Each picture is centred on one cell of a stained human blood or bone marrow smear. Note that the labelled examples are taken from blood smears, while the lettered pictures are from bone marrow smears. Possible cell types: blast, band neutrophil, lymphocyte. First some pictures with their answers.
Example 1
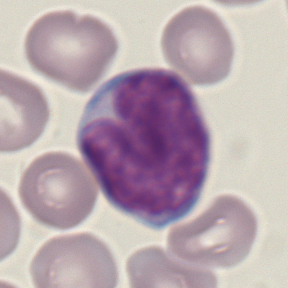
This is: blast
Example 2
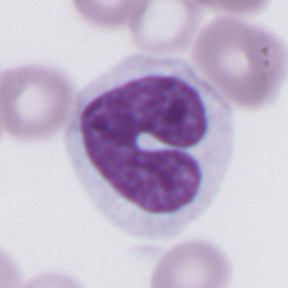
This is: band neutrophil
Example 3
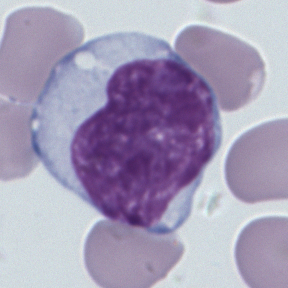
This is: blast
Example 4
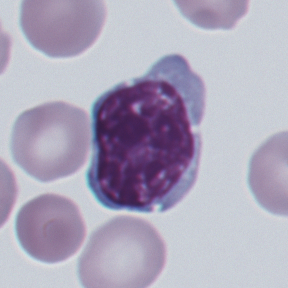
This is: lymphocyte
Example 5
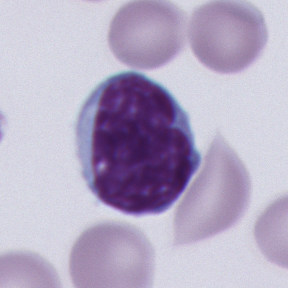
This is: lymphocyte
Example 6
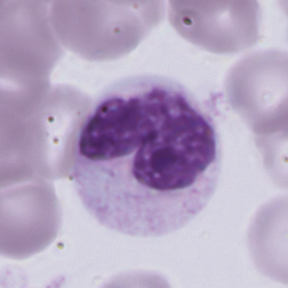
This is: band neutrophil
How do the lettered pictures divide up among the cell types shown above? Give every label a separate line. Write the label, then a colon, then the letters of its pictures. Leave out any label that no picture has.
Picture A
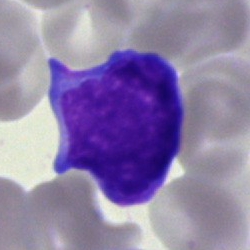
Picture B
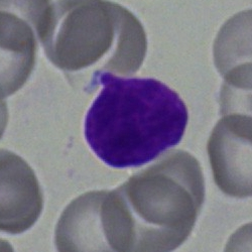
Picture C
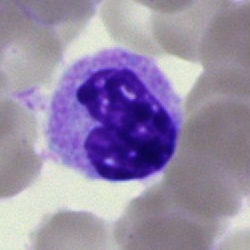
blast: A
band neutrophil: C
lymphocyte: B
